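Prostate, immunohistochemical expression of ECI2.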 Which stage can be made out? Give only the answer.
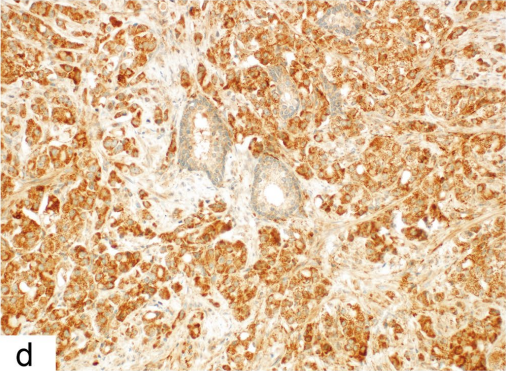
Poorly differentiated.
